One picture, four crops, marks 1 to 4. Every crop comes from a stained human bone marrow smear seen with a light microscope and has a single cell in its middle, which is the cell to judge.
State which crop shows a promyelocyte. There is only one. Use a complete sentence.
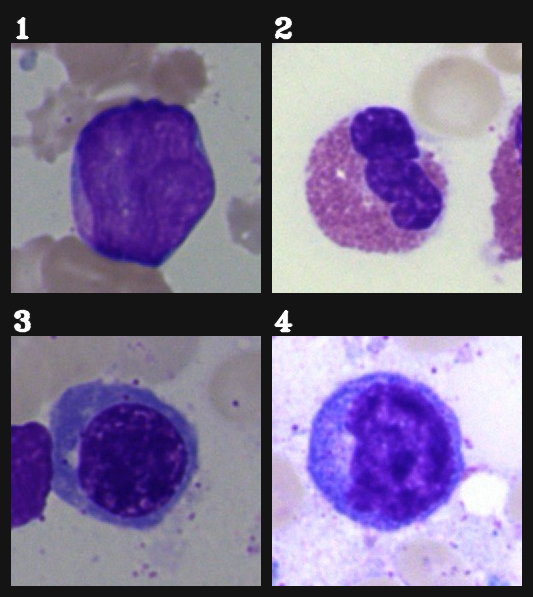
Crop 4 is where a promyelocyte is to be found.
